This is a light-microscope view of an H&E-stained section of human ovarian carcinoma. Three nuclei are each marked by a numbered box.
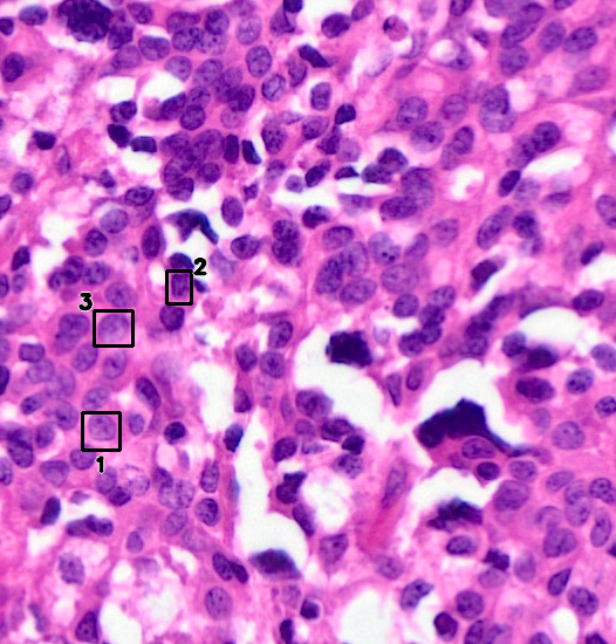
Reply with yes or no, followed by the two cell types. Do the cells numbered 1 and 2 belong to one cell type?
Yes, both are macrophages or monocytes.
